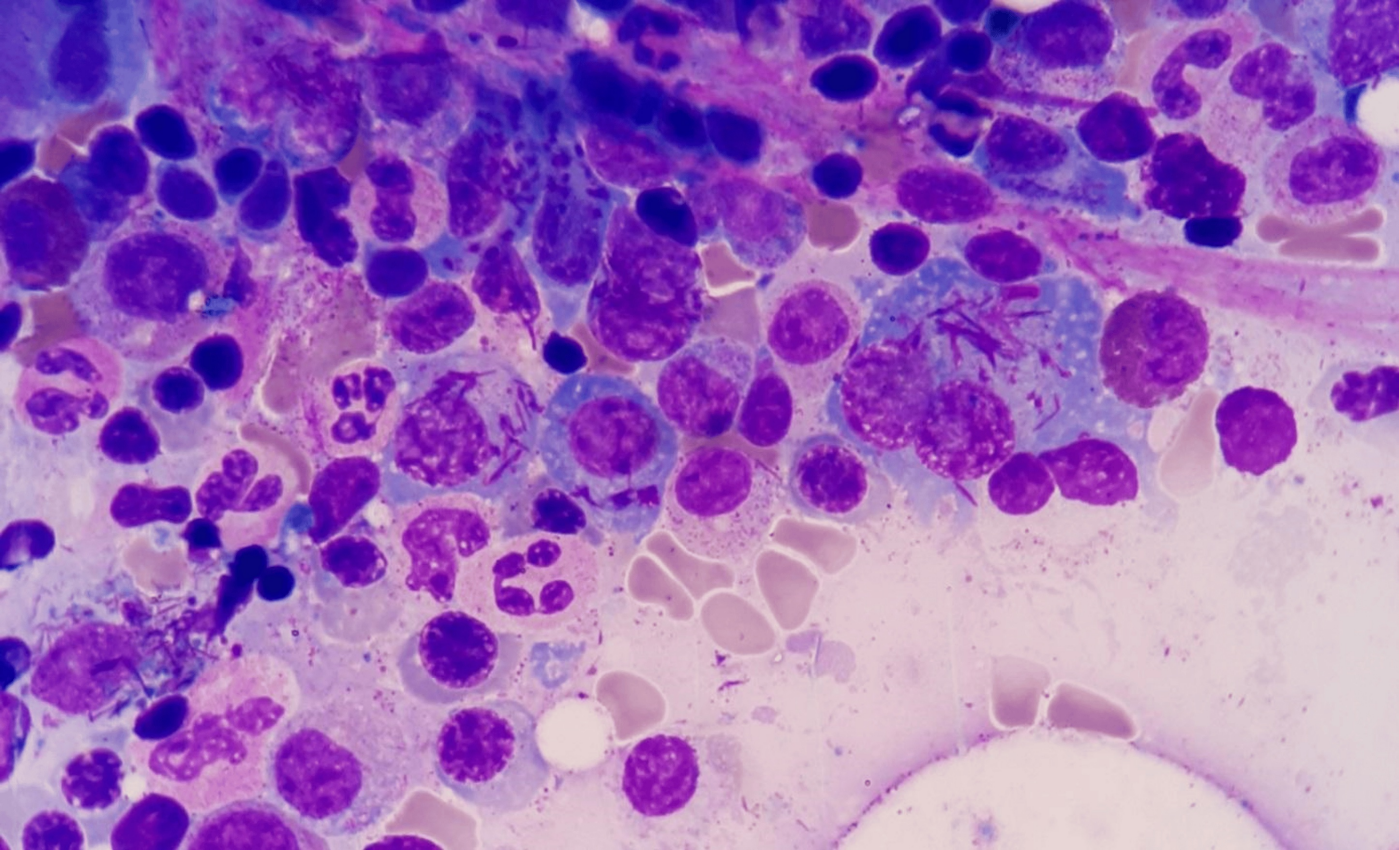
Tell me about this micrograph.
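This bone marrow smear shows atypical plasma cells lying among granulocytic precursors, neutrophils with segmented nuclei, small dark nucleated cells and pale red cells. The plasma cells are large and have abundant pale blue cytoplasm. Their round nuclei sit toward one side and have coarse, clumped purple chromatin, and some of these cells have two nuclei. In several of them, thin straight needle-shaped purple-pink rods lie scattered through the cytoplasm. The rods are single or crossed in small bundles, much like Auer rods. Around these cells are myeloid cells with finely granular pinkish cytoplasm, band and segmented nuclei, and a clear empty space at the lower right edge.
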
